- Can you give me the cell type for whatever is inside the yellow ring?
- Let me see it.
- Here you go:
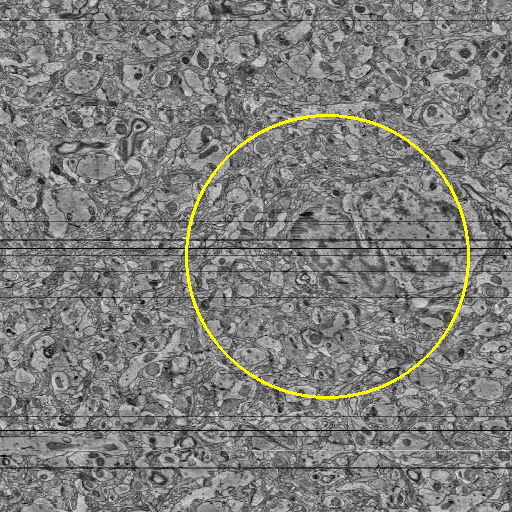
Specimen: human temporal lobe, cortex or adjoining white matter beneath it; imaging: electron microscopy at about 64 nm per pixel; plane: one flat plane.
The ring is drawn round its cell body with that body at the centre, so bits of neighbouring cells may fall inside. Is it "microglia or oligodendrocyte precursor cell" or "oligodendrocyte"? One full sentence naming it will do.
The cell body in the middle of the ring in this picture belongs to an oligodendrocyte.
